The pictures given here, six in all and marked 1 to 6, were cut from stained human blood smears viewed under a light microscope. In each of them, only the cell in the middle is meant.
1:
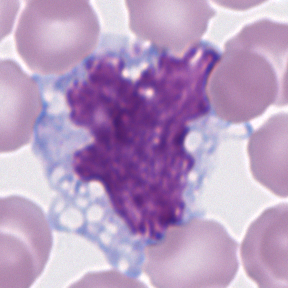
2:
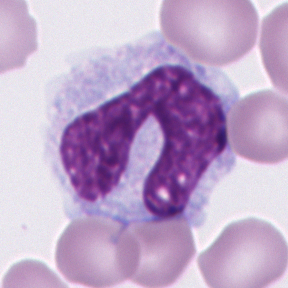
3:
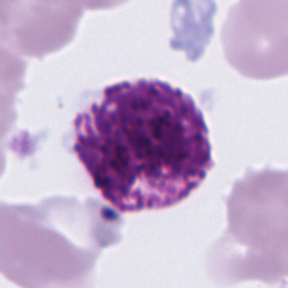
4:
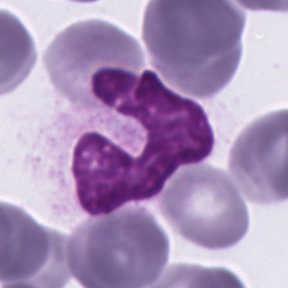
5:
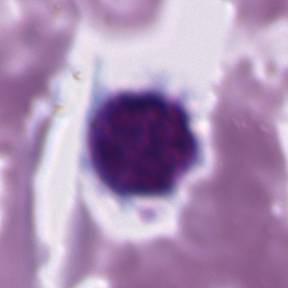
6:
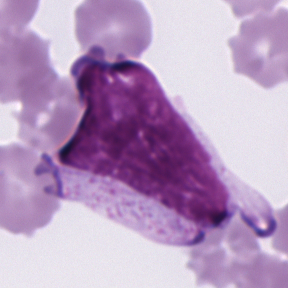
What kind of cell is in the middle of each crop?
1: monocyte
2: monocyte
3: basophil
4: band neutrophil
5: hairy cell
6: myelocyte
